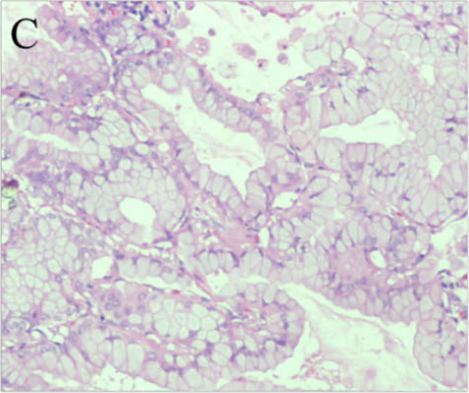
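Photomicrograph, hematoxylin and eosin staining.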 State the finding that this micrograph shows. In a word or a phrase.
Invasive mucinous adenocarcinoma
